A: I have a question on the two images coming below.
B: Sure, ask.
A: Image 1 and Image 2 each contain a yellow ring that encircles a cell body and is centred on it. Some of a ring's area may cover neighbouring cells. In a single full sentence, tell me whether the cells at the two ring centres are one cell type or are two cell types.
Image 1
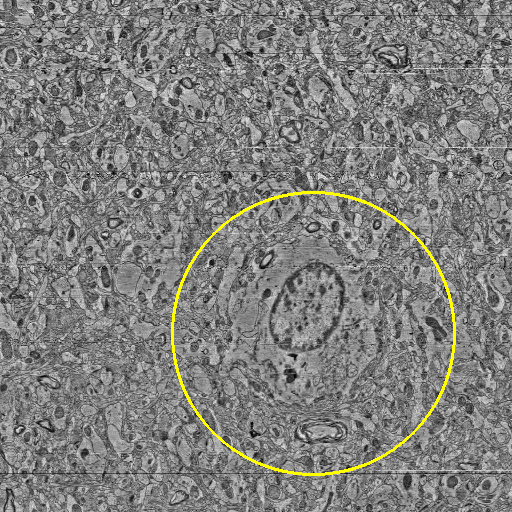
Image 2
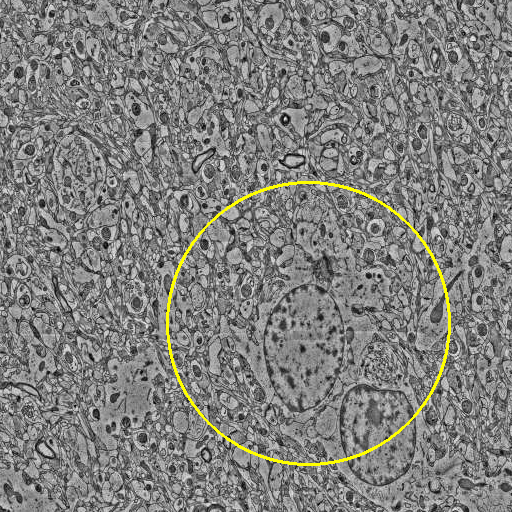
As for the ring-centre cells, the one in Image 1 and the one in Image 2 are one cell type.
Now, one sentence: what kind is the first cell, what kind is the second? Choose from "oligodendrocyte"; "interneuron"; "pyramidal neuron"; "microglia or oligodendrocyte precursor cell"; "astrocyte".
Both pictures show an astrocyte at the centre of the ring.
